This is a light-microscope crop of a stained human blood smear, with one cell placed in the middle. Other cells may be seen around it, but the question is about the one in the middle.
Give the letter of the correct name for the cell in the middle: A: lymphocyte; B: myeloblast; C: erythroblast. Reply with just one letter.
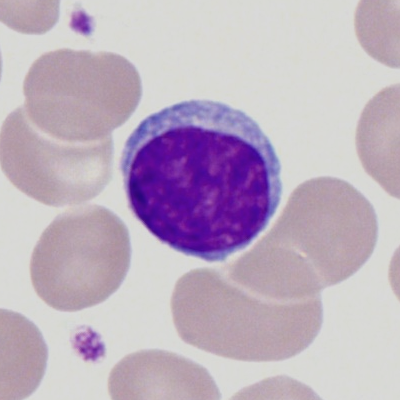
A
